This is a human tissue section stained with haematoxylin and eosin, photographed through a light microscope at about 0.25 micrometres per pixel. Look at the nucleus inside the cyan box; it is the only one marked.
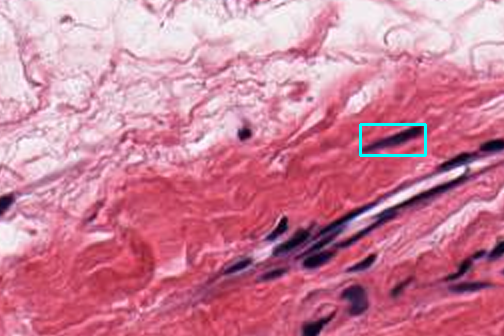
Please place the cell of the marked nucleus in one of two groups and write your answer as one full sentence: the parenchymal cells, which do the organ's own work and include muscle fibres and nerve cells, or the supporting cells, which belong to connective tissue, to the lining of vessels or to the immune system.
The marked nucleus is held by a supporting cell.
